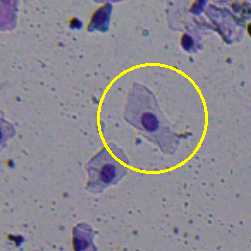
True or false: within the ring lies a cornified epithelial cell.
False: a nucleated epithelial cell lies within the ring.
